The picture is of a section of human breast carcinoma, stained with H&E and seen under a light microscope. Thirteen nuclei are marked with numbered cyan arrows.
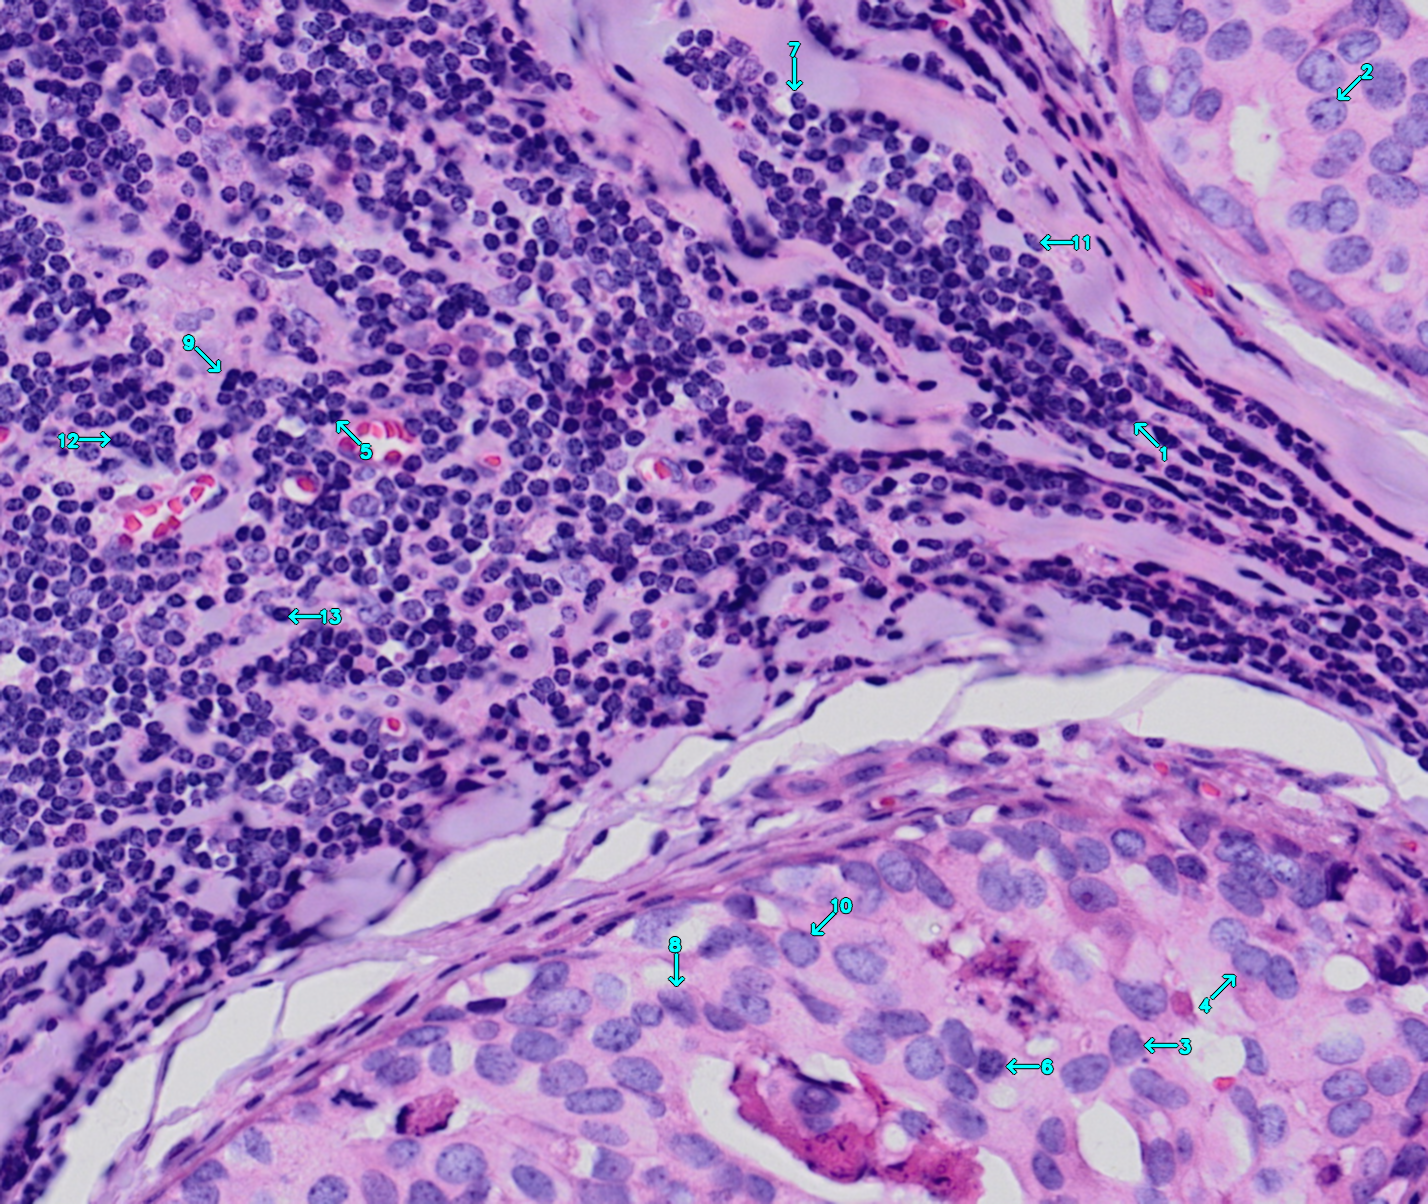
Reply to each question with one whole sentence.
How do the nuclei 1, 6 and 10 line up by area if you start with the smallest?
The order from the smallest nucleus to the largest is 1, 6, 10.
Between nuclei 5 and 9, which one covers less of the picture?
Nucleus 5 covers less area, with nucleus 9 about 2 times as large.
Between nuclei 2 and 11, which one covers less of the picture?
Number 11 is smaller, since number 2 takes up about 4 times as much area.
